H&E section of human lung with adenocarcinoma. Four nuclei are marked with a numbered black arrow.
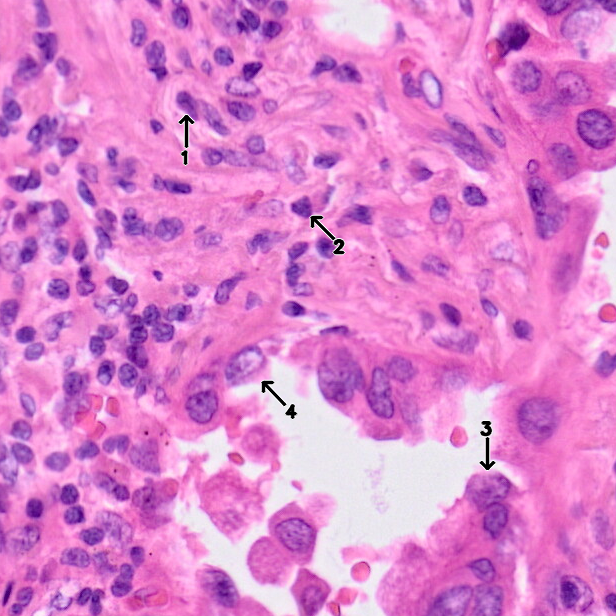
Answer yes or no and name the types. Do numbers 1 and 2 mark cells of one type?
No, with respect, cell 1 is a plasma cell and cell 2 is a lymphocyte.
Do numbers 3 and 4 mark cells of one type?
Yes, cells 3 and 4 are both classed as carcinoma cells.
